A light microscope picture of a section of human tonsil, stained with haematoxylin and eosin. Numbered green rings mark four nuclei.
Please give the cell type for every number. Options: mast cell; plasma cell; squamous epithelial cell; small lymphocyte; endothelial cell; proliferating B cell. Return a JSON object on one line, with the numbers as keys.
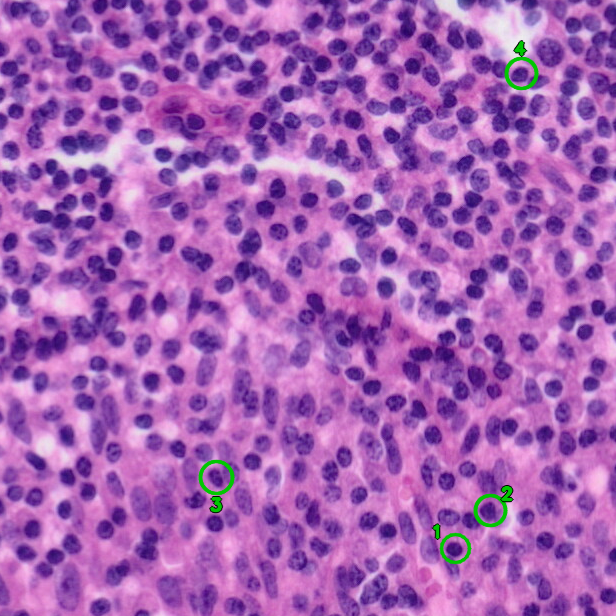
{"1": "plasma cell", "2": "plasma cell", "3": "plasma cell", "4": "small lymphocyte"}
